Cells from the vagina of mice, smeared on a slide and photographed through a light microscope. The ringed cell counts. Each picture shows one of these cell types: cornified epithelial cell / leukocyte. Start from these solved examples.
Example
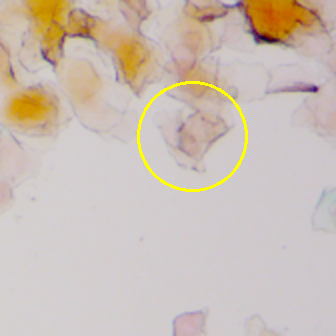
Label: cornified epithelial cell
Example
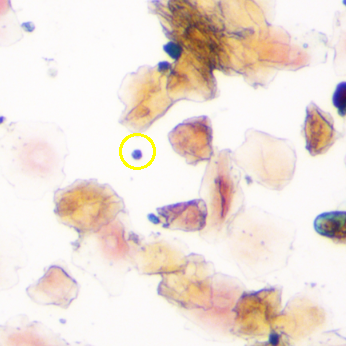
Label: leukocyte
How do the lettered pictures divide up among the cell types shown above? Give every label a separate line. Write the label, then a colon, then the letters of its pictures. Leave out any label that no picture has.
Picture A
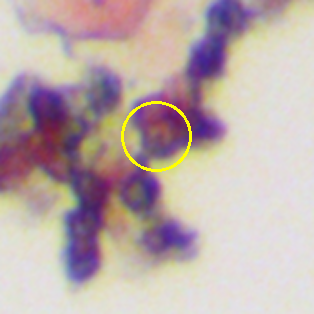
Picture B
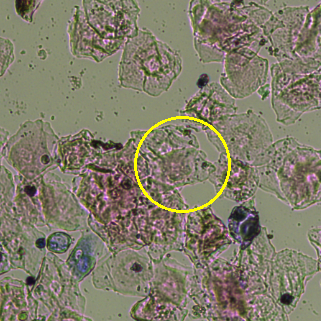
cornified epithelial cell: B
leukocyte: A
